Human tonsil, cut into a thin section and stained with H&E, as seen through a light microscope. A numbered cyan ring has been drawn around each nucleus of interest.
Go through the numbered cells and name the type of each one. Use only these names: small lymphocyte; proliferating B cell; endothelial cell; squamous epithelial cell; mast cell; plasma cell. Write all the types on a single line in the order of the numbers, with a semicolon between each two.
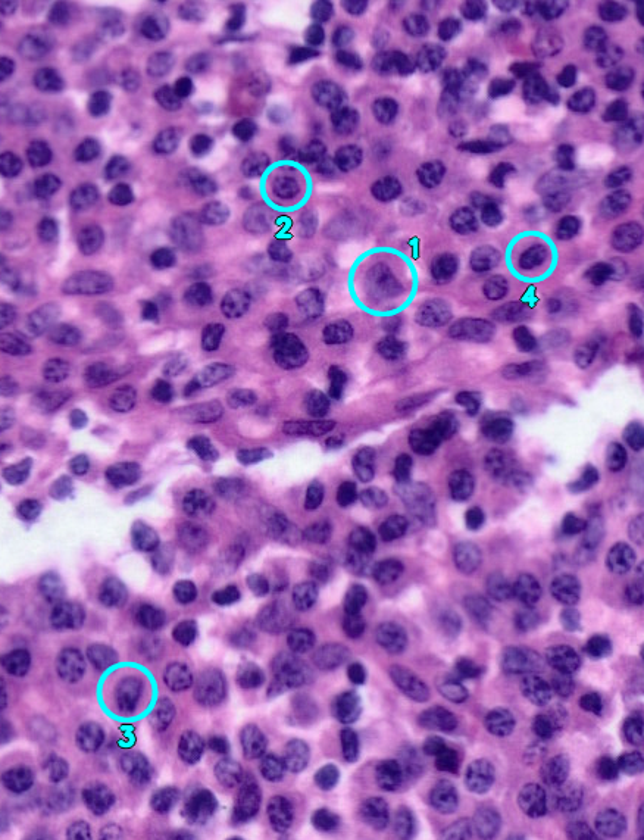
squamous epithelial cell; plasma cell; plasma cell; plasma cell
